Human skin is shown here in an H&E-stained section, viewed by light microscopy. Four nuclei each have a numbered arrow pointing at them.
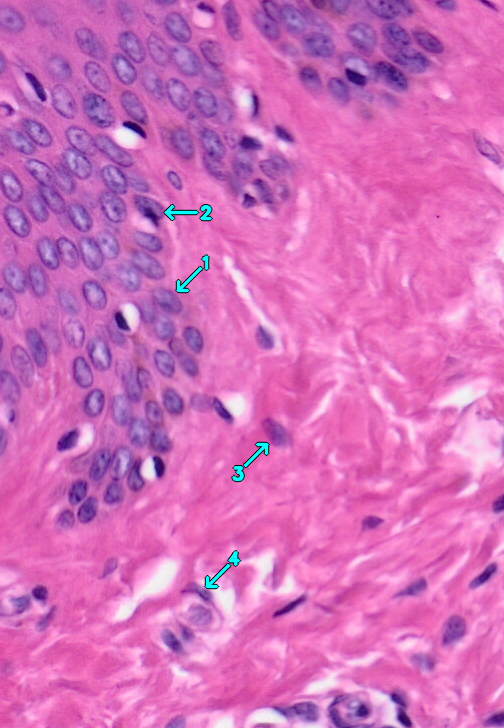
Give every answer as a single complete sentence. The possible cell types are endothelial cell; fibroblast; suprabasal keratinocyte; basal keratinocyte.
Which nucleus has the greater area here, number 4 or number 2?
Nucleus 2 is the larger one, covering about 2 times the area of nucleus 4.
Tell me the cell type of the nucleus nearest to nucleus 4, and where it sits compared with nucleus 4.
The closest nucleus belongs to an endothelial cell and sits below nucleus 4.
